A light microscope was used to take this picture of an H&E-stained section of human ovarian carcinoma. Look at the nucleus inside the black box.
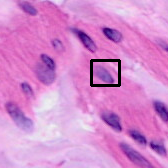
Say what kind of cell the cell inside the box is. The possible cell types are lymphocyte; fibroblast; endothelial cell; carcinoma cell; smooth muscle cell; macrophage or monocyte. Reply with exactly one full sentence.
In this preparation, the cell inside the box is a smooth muscle cell.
